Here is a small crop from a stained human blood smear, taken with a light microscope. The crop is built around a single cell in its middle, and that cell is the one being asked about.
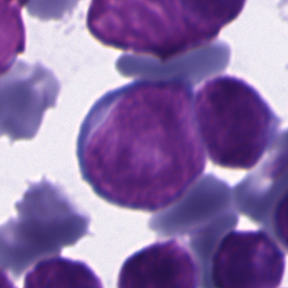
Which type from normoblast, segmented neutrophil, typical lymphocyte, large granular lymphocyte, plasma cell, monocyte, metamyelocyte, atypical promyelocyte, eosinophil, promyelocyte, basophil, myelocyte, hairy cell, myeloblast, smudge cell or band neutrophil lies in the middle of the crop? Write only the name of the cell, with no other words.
myeloblast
